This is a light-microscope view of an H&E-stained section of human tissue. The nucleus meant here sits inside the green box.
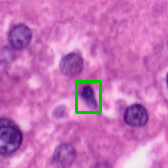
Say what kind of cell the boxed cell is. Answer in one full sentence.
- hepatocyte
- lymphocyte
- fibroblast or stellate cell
As classified here, the boxed cell is a fibroblast or stellate cell.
